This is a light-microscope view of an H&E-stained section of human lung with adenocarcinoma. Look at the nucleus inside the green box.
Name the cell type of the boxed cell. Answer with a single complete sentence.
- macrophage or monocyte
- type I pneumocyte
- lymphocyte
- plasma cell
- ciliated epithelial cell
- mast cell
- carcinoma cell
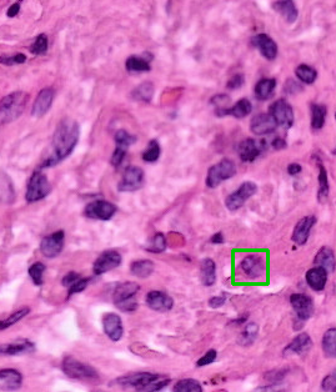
At the level of cell identity, the boxed cell is a mast cell.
